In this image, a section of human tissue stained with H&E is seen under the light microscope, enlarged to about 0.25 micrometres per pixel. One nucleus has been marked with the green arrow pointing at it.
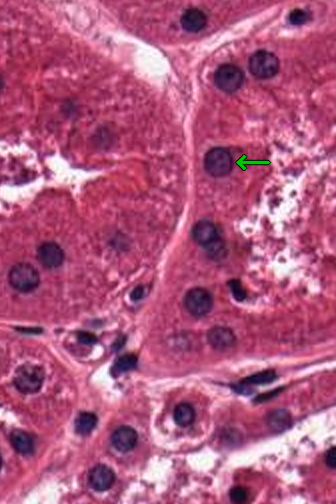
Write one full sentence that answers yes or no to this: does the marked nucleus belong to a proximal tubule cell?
Yes, a proximal tubule cell is what the marked nucleus belongs to.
